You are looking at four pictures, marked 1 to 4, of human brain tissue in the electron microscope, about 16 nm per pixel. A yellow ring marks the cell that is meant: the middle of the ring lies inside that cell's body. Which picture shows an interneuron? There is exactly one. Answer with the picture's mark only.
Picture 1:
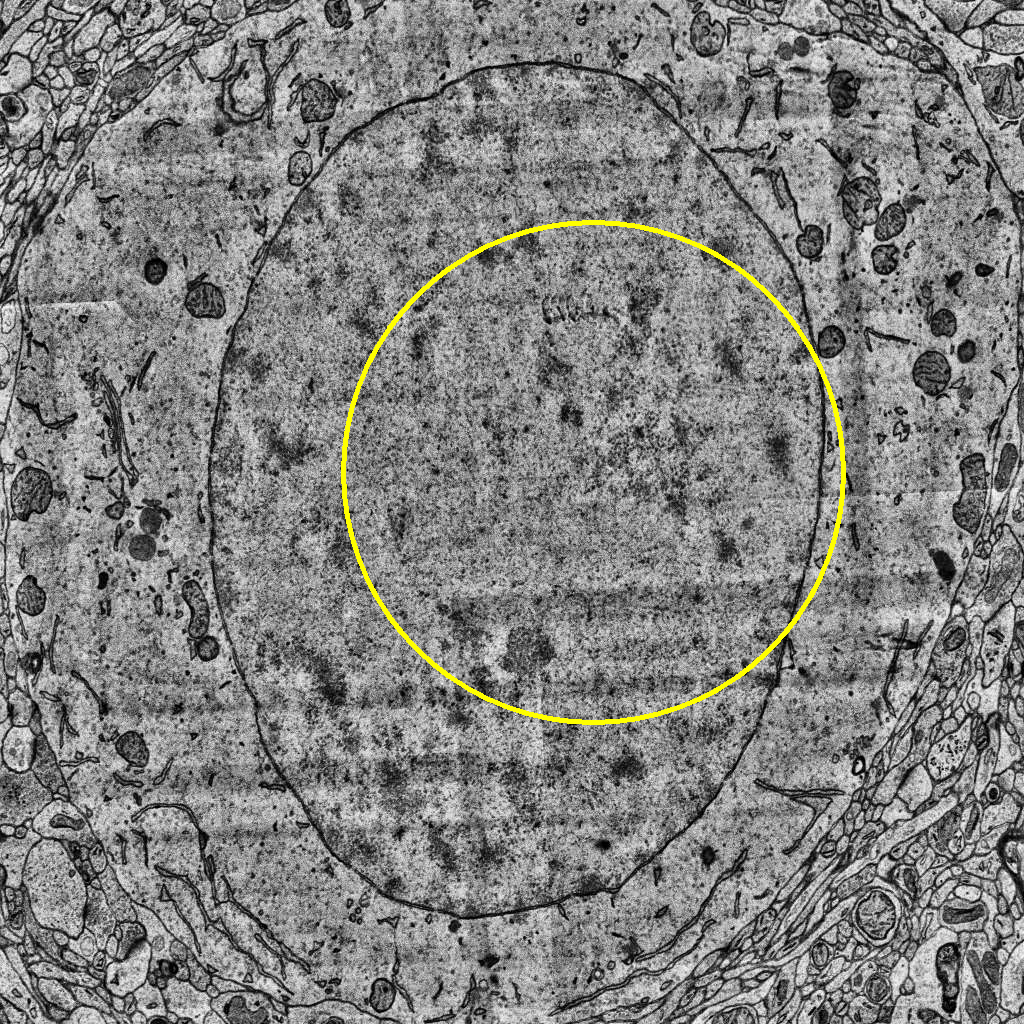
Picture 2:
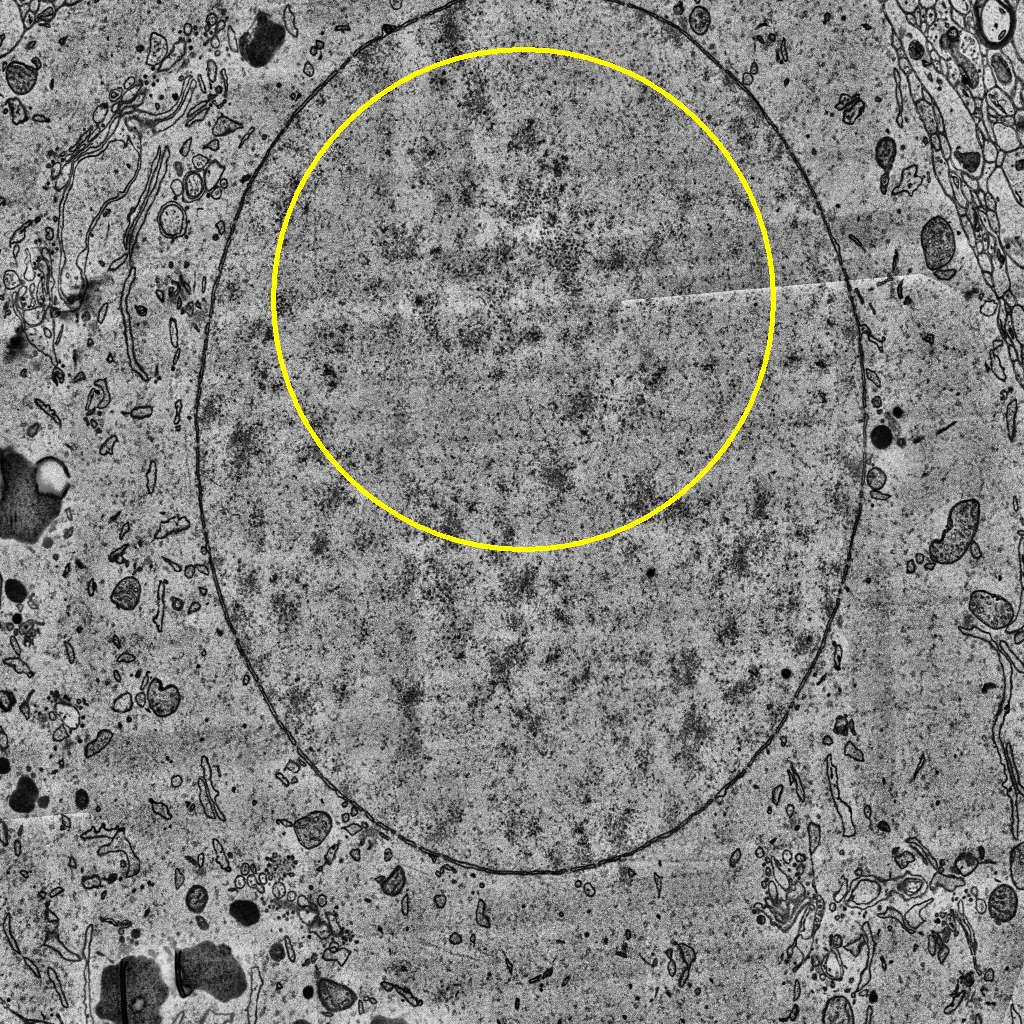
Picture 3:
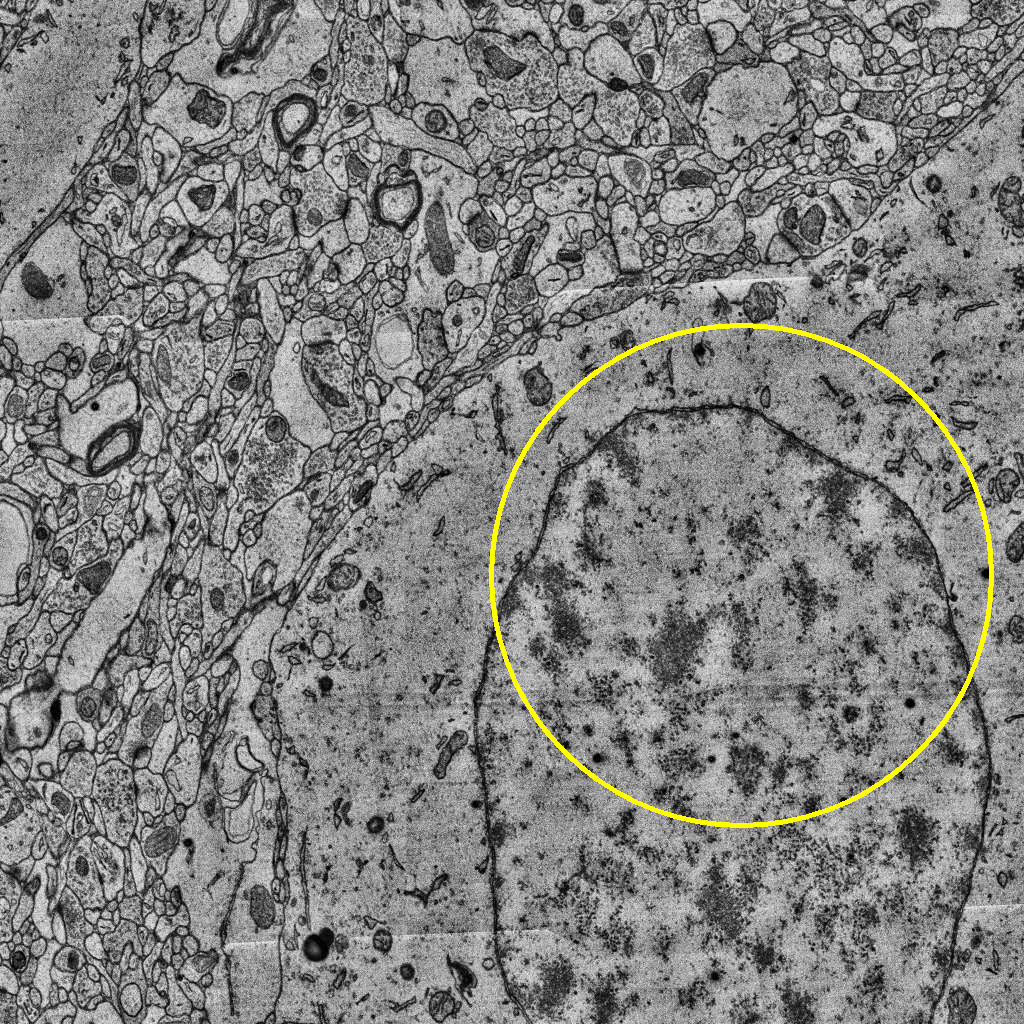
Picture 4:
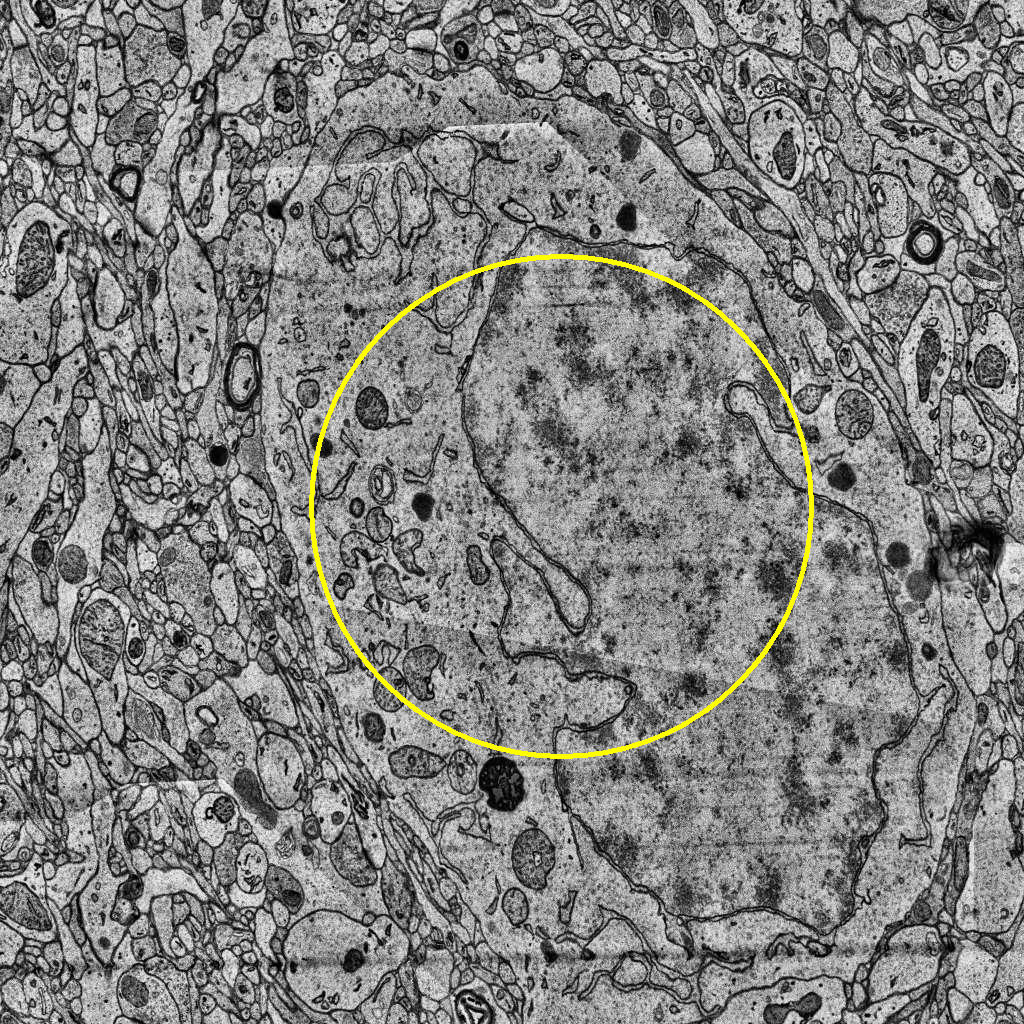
4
